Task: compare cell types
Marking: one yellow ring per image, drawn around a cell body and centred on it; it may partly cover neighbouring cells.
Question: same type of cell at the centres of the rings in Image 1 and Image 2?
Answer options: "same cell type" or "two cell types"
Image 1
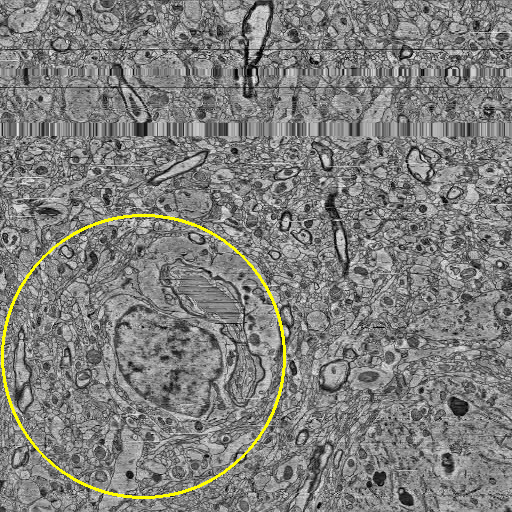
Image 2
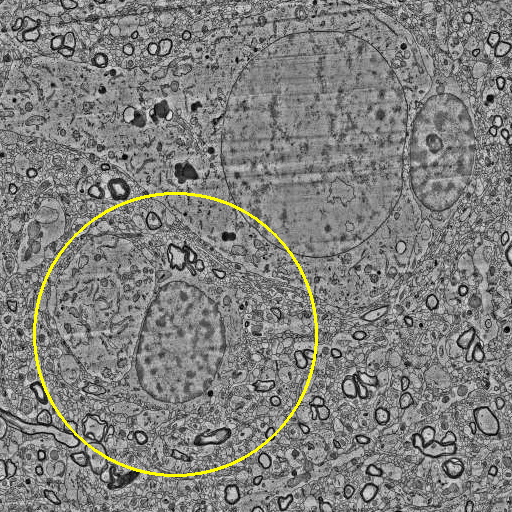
two cell types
